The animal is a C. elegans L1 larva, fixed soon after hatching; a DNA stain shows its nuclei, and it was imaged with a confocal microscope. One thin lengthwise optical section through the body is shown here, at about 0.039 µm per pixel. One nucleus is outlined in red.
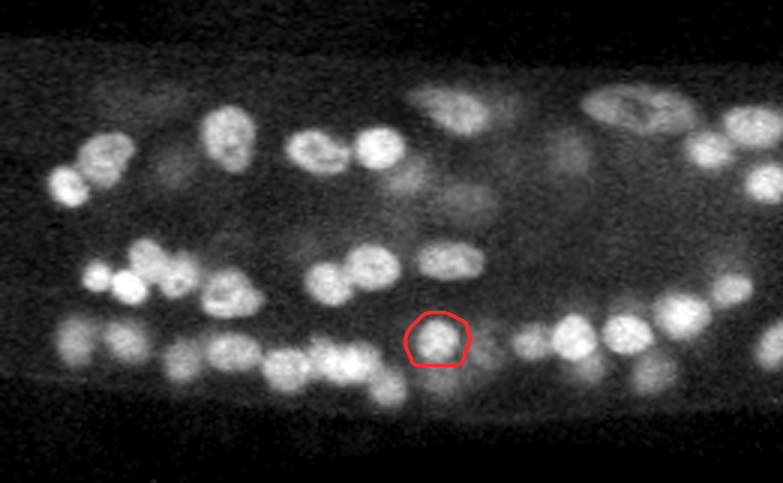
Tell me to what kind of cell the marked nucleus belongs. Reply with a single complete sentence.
The marked nucleus belongs to a neuron.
